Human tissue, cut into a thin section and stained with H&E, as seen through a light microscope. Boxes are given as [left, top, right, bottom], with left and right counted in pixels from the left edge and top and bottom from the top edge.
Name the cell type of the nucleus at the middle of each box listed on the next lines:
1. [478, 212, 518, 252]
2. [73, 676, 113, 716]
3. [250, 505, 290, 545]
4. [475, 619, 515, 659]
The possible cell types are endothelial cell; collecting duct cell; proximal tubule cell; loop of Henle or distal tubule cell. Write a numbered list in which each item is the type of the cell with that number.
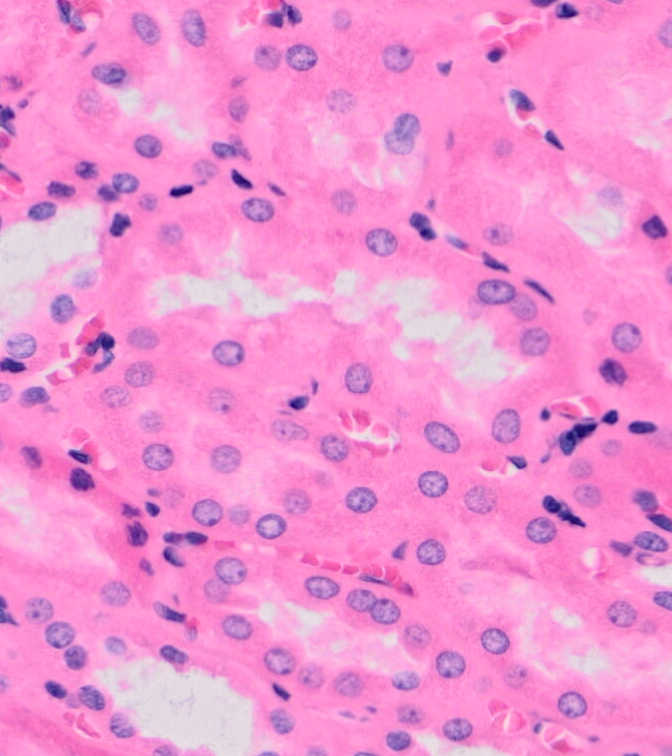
1. proximal tubule cell
2. loop of Henle or distal tubule cell
3. proximal tubule cell
4. proximal tubule cell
